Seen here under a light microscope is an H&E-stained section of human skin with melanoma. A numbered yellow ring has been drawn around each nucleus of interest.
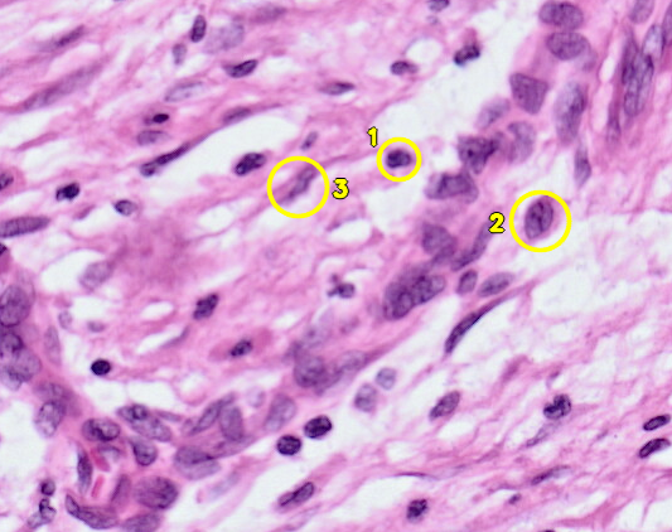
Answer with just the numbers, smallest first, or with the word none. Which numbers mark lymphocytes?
1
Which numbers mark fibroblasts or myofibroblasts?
3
